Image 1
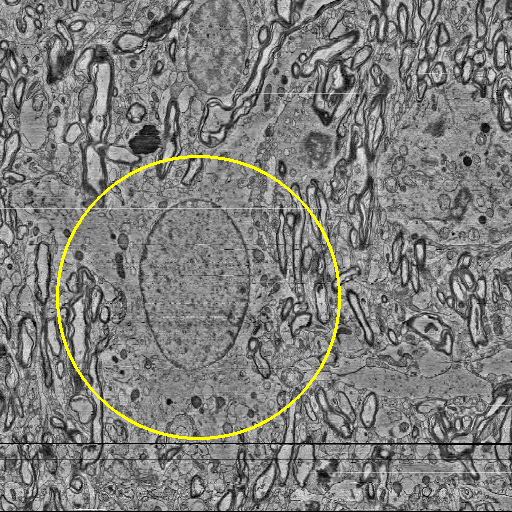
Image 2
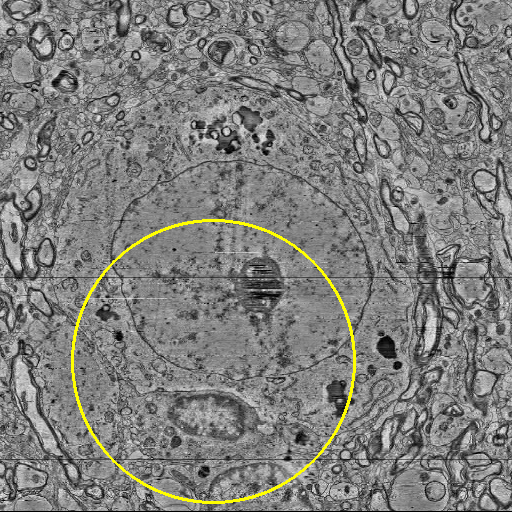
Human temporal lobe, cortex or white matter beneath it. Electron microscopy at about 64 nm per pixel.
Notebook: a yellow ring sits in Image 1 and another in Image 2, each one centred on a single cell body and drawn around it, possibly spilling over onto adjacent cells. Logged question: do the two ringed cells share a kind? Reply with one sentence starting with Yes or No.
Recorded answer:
No, the centre cells inside the rings of Image 1 and Image 2 are of two kinds.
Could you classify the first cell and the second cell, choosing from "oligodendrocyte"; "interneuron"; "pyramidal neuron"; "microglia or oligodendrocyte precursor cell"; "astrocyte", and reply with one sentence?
The second cell is a pyramidal neuron, while the first is an astrocyte.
